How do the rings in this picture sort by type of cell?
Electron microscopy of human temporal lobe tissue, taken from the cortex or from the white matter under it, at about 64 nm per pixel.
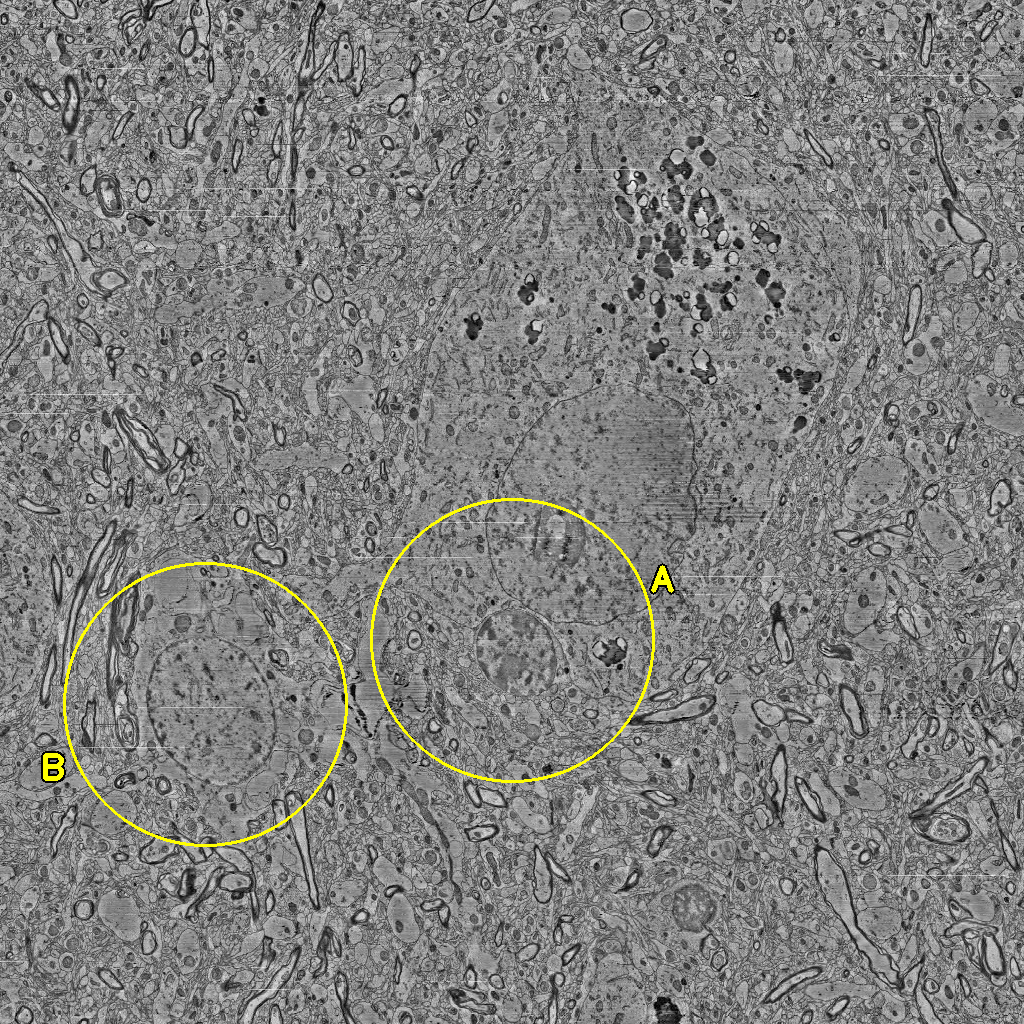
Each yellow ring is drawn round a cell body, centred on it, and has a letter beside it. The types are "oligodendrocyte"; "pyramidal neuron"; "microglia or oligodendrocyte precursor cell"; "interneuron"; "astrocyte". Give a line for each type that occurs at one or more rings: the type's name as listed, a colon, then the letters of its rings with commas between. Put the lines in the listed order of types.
oligodendrocyte: A
astrocyte: B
